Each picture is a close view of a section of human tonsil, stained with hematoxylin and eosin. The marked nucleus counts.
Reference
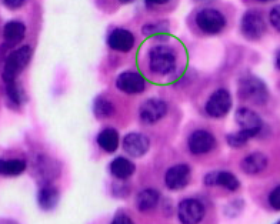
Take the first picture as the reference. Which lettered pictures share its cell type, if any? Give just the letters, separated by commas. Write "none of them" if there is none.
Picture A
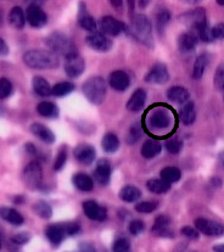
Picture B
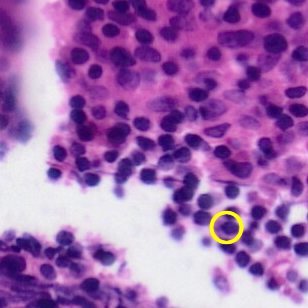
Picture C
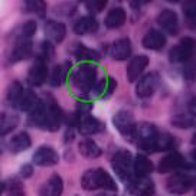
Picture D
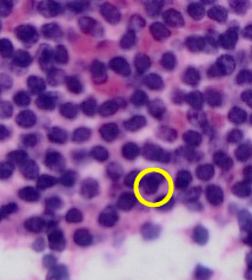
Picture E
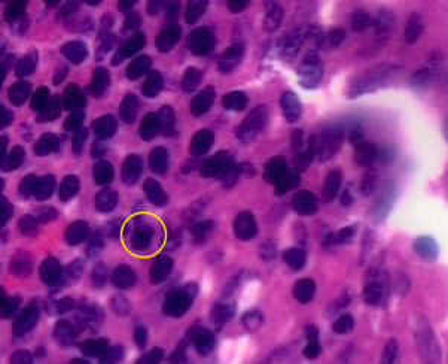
A, E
